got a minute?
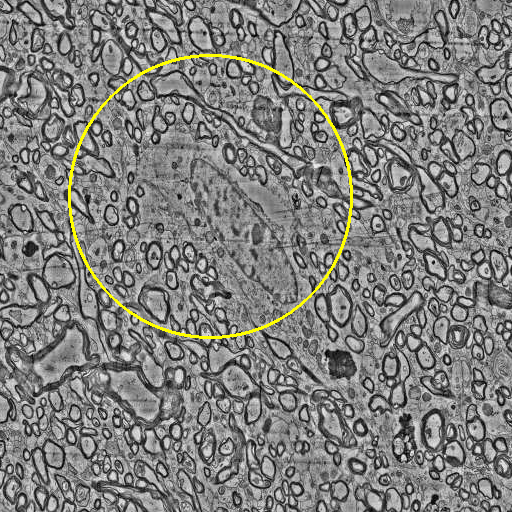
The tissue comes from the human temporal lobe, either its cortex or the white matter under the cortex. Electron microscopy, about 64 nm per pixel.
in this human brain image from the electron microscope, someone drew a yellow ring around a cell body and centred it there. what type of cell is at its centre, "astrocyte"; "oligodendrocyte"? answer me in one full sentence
It's an astrocyte at the middle of that yellow ring in the shot.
